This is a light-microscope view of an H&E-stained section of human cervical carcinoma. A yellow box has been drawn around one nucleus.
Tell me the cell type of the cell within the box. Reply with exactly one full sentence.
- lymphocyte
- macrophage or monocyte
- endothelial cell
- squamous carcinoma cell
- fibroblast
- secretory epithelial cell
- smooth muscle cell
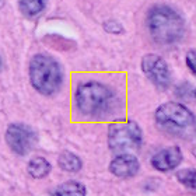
The identity of the cell within the box is that of a squamous carcinoma cell.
